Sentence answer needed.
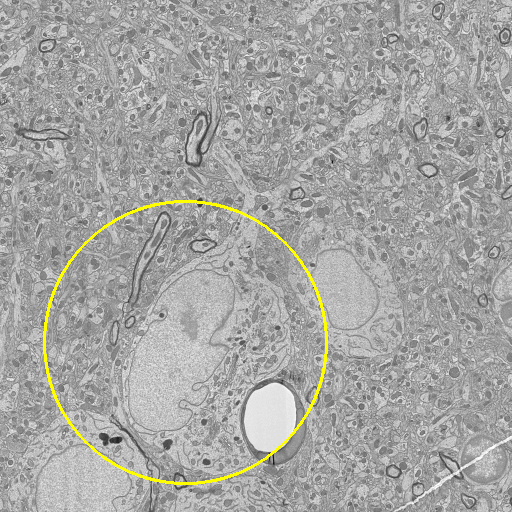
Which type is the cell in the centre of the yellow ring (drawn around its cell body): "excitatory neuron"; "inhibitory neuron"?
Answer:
In the centre of the yellow ring is an inhibitory neuron.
